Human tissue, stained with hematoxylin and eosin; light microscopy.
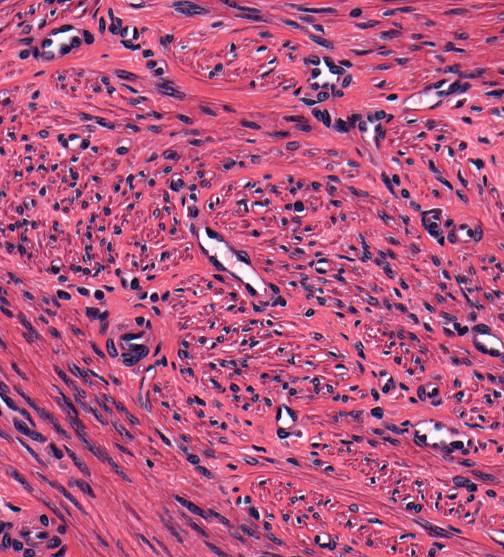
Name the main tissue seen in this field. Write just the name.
smooth muscle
